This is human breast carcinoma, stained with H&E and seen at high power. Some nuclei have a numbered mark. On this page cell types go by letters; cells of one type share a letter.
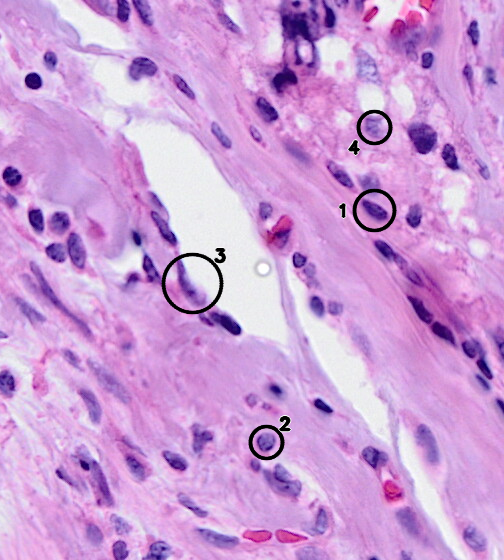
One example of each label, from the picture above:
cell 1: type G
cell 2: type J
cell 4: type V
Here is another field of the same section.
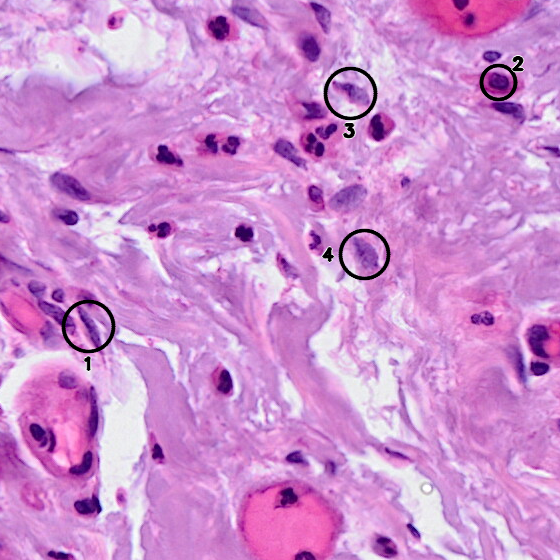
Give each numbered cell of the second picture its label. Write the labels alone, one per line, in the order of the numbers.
type V
type J
type V
type V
